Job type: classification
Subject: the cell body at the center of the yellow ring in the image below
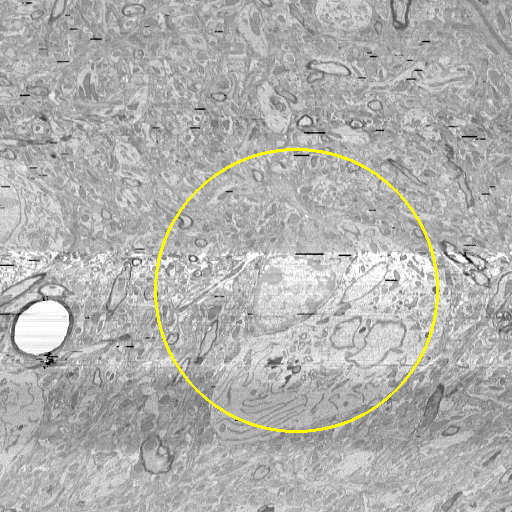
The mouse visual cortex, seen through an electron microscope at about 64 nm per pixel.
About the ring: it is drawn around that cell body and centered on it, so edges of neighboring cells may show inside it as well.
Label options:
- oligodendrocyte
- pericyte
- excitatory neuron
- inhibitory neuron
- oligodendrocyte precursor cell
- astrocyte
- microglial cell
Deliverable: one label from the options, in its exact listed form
oligodendrocyte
